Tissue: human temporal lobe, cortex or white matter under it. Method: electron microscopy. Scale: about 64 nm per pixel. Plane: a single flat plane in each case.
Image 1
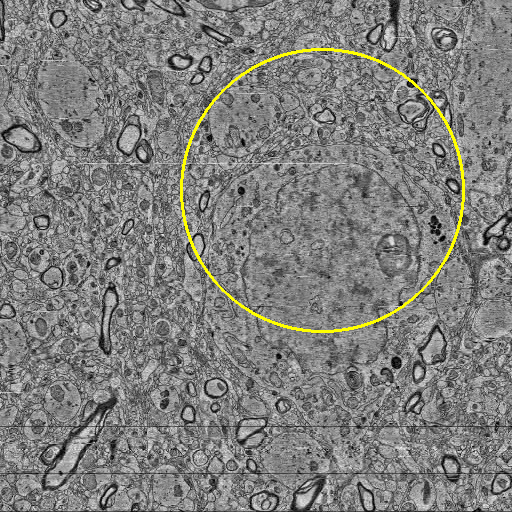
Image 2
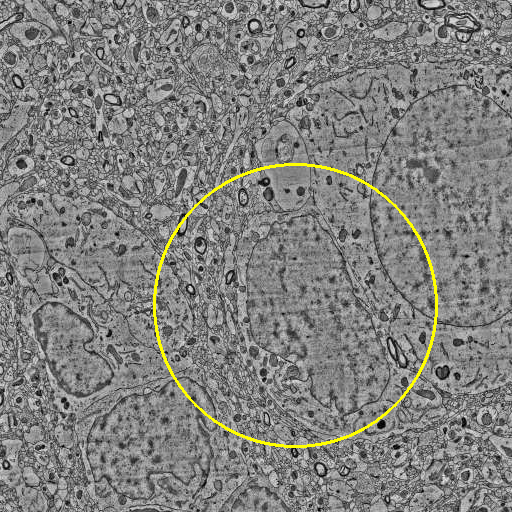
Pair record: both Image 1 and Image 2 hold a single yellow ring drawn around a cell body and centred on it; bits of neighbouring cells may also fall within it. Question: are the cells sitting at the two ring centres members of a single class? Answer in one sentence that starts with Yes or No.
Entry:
Yes, both ring-centre cells in Image 1 and Image 2 are members of one class.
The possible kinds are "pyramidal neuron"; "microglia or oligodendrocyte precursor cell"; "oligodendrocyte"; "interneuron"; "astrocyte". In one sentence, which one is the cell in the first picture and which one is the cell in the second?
Both the first and the second picture show an interneuron in the ring.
